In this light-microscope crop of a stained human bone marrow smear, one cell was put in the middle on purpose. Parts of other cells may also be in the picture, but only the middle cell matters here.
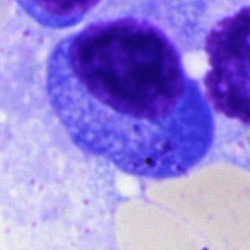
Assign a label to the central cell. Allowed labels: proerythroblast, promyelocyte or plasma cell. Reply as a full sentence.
What the crop centres on is a plasma cell.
